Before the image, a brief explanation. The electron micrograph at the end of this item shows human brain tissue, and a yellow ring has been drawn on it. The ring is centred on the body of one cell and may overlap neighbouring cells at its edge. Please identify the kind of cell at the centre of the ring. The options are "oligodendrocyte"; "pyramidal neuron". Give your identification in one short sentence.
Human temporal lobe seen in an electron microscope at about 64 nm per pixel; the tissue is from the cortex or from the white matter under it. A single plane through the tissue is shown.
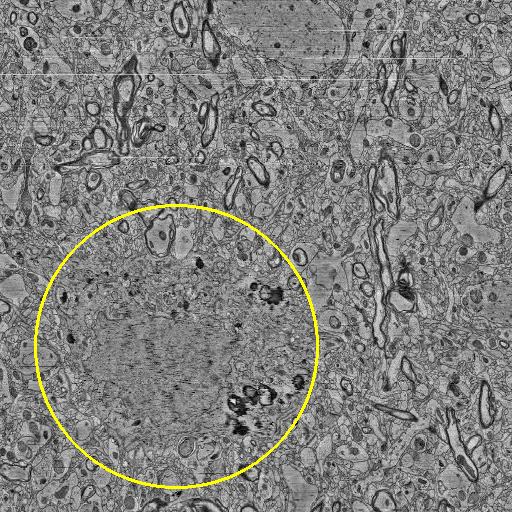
The ring has been placed around a pyramidal neuron.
